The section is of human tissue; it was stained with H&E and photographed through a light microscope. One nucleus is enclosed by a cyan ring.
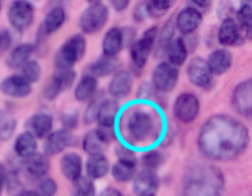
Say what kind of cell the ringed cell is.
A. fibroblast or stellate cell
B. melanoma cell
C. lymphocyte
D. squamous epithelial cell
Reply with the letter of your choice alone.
C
